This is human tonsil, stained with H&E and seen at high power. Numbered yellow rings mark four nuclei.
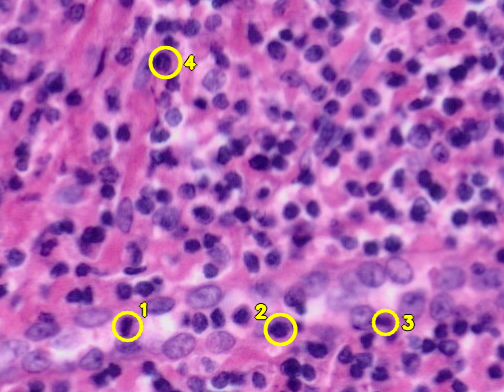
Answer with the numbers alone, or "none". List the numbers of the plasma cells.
4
